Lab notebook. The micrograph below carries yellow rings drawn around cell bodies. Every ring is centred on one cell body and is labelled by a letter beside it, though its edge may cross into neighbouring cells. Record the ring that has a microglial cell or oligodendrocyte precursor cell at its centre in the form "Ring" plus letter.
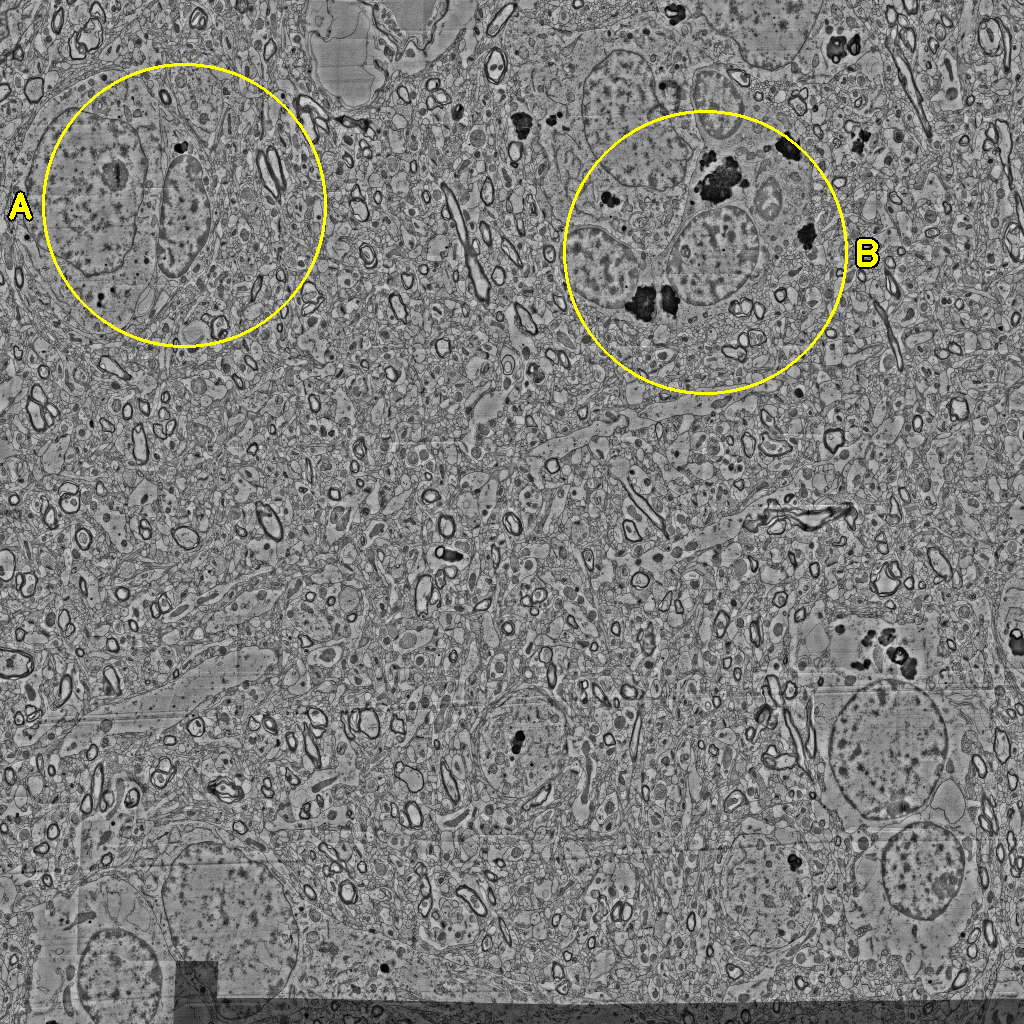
Ring A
